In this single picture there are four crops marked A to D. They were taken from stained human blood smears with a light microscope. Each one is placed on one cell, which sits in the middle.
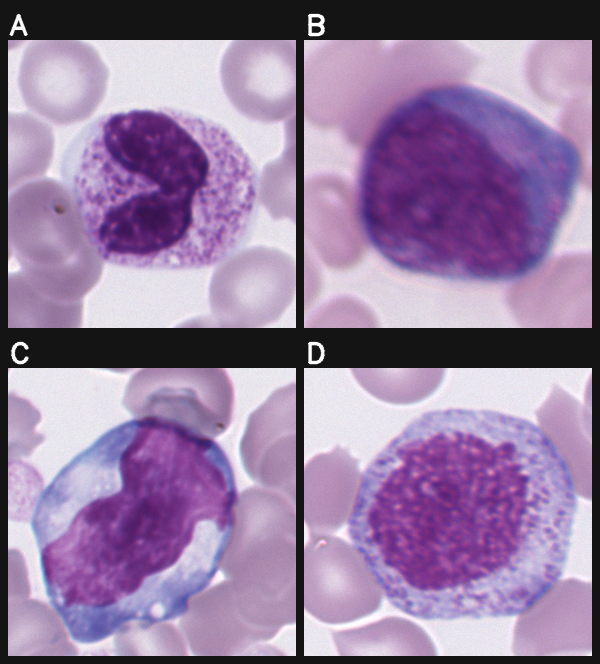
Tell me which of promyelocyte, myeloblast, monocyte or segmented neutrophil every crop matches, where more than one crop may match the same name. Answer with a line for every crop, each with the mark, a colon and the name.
A: segmented neutrophil
B: promyelocyte
C: monocyte
D: promyelocyte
